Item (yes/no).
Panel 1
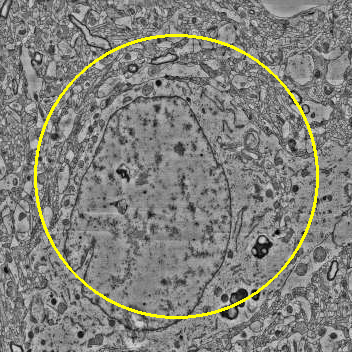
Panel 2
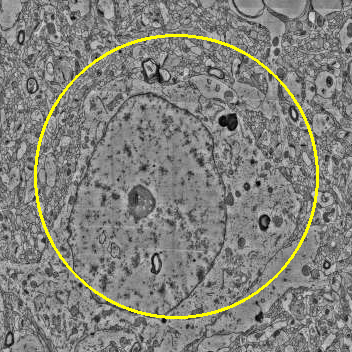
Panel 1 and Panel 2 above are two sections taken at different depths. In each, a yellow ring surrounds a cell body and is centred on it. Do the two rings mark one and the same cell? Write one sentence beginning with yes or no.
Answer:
Yes, a single cell is the subject of both yellow rings.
